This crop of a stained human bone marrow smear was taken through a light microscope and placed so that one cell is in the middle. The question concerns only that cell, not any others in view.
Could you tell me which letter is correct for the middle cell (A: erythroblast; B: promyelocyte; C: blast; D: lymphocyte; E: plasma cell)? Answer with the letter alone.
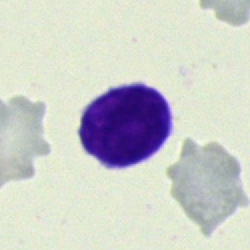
D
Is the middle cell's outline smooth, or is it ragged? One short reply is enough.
Thanks for asking; the cell edge is smooth and has no projections.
